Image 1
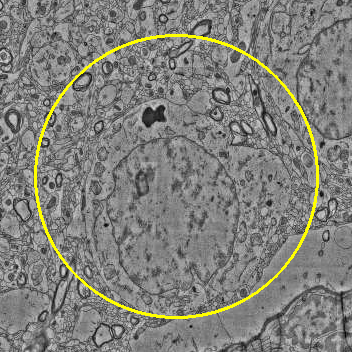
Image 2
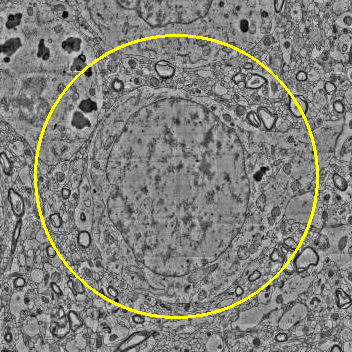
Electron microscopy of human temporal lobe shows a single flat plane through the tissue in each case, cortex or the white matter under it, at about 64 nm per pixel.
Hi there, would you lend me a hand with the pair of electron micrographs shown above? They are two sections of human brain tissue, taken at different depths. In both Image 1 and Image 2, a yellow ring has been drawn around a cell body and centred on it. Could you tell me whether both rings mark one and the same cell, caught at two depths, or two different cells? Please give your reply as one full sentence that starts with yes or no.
No, the two rings indicate two different cells, not one.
